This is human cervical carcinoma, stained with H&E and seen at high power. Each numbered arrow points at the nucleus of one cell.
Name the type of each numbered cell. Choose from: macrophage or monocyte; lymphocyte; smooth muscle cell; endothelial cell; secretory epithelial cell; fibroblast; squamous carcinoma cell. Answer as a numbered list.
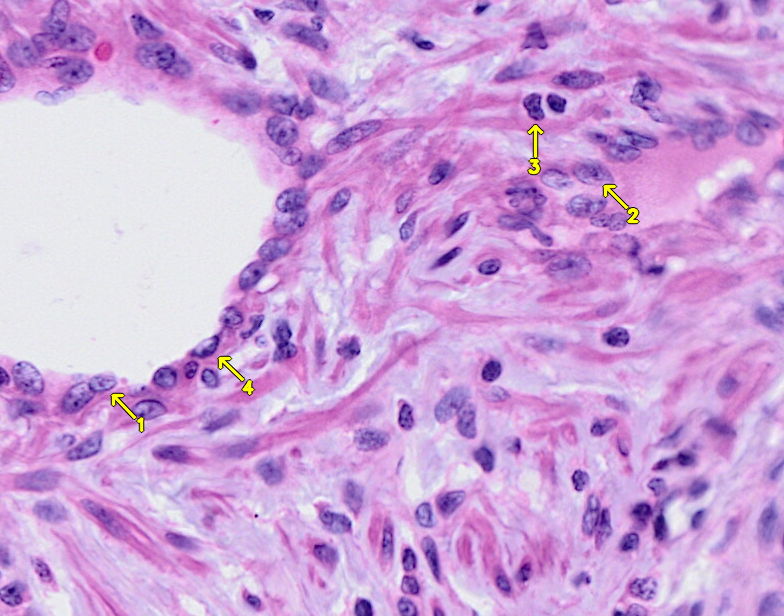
1. endothelial cell
2. endothelial cell
3. lymphocyte
4. endothelial cell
